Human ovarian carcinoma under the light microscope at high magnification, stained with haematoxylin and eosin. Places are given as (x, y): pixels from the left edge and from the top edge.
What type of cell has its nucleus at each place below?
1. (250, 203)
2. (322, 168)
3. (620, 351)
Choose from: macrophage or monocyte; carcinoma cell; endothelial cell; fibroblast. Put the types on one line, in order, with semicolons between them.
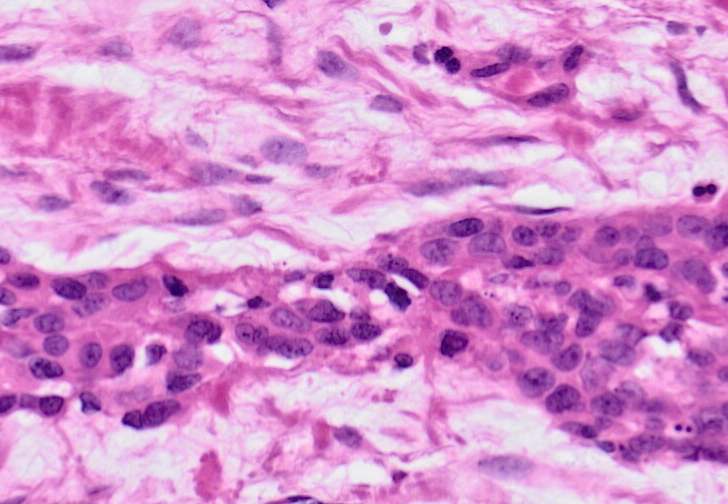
fibroblast; fibroblast; carcinoma cell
